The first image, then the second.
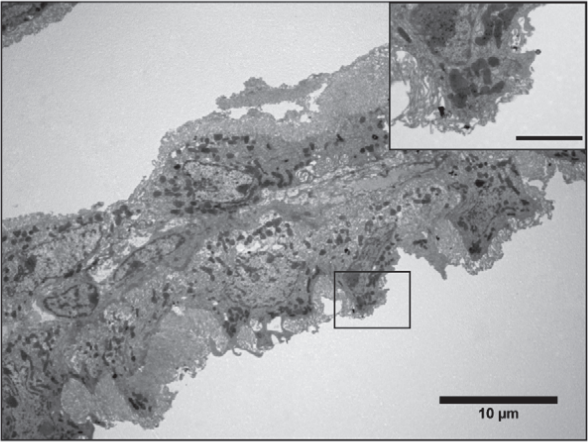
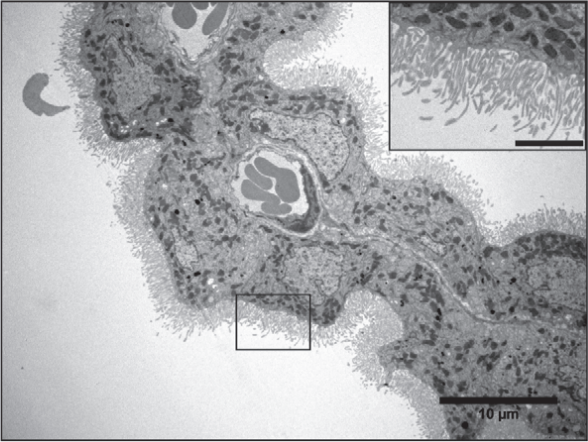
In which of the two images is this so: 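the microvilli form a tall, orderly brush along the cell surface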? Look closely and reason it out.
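First image: the epithelial surface is ragged with short, disordered projections. Second image: a dense, even fringe of long parallel projections lines the epithelial surface.
The second image.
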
